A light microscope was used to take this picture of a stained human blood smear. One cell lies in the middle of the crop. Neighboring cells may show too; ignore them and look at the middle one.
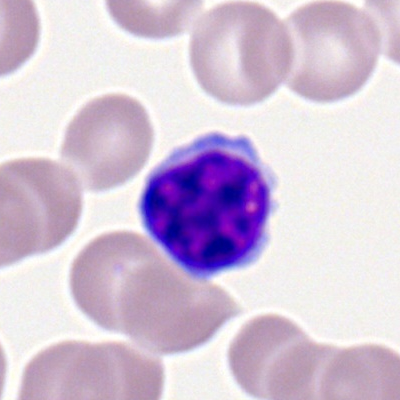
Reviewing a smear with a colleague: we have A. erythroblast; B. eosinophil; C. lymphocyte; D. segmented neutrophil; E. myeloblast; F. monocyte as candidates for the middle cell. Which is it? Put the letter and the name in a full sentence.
That middle cell is a lymphocyte, and option C is therefore correct.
